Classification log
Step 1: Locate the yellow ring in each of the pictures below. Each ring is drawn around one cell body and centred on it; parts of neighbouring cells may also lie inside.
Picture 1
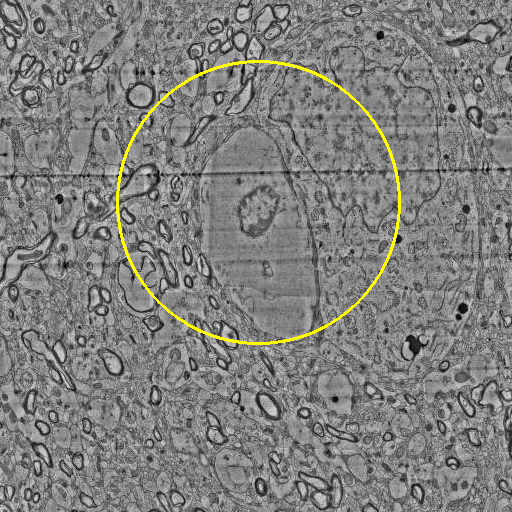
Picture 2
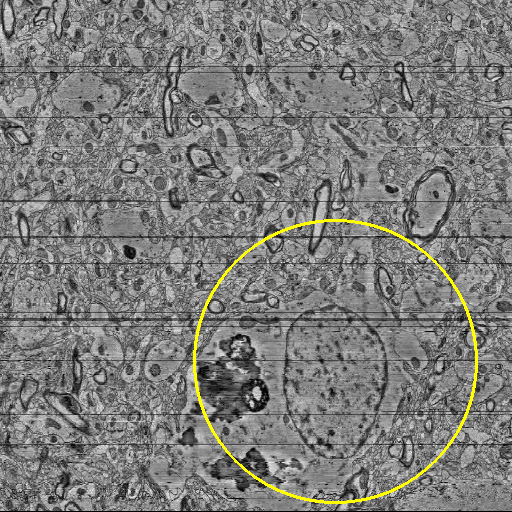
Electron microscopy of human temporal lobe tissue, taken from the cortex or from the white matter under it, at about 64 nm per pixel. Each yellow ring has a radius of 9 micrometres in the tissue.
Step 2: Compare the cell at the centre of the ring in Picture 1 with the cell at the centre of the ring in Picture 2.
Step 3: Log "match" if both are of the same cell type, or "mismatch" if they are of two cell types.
match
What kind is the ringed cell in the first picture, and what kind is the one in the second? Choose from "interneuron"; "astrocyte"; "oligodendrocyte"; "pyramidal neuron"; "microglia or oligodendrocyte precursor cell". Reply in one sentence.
Both cells are the same kind, each one being an astrocyte.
